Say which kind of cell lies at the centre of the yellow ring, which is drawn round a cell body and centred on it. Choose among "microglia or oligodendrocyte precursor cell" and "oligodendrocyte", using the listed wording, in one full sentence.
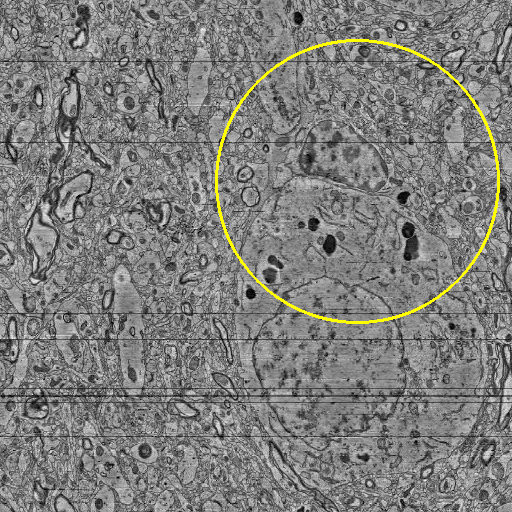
Going by the list, the cell at the yellow ring's centre is a microglial cell or oligodendrocyte precursor cell.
